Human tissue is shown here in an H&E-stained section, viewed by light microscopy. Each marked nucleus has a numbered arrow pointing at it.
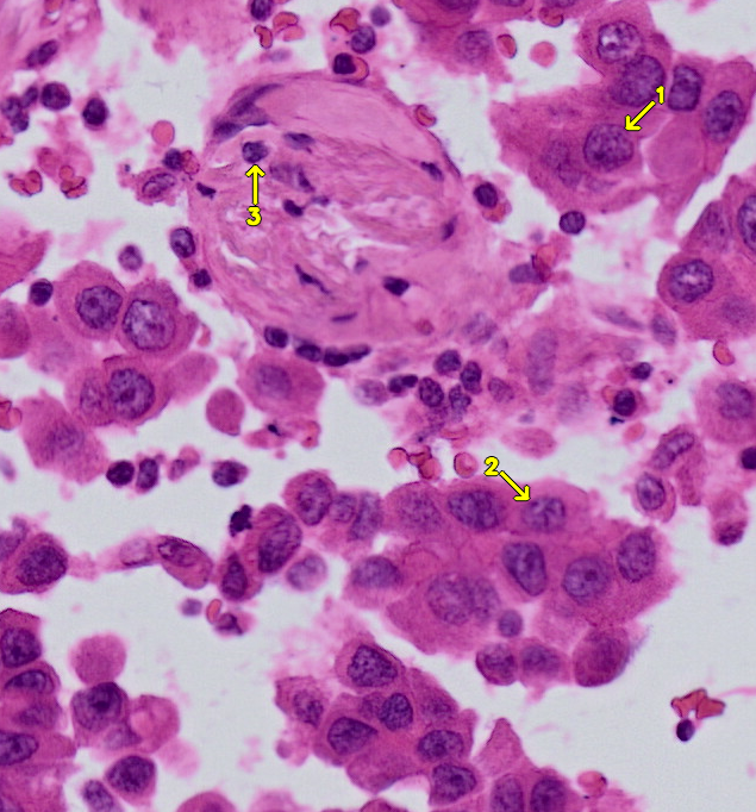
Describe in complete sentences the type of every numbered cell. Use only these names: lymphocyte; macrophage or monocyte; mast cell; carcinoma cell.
Cells 1 and 2 are carcinoma cells. Cell 3 is a lymphocyte.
